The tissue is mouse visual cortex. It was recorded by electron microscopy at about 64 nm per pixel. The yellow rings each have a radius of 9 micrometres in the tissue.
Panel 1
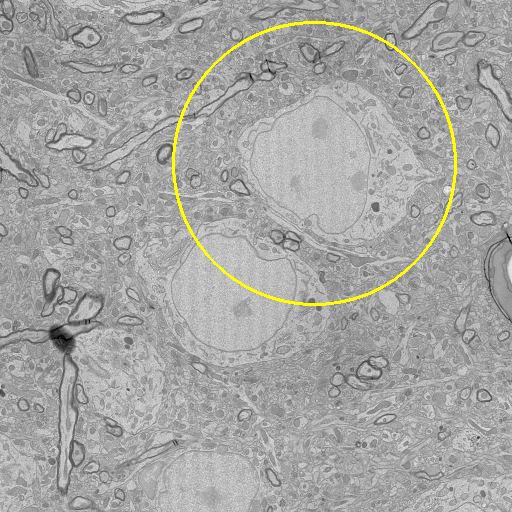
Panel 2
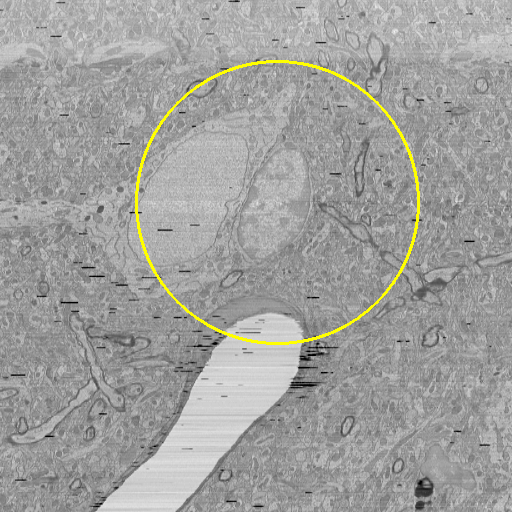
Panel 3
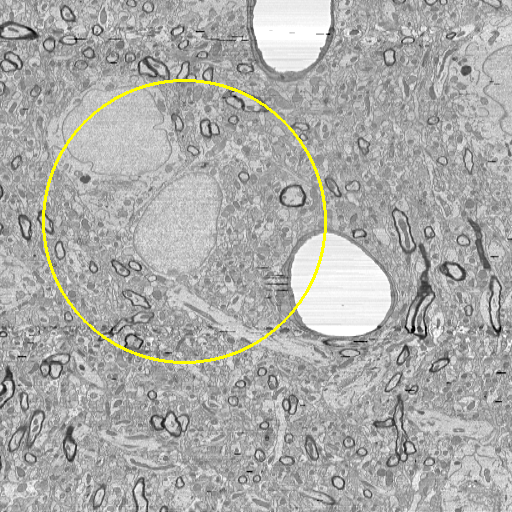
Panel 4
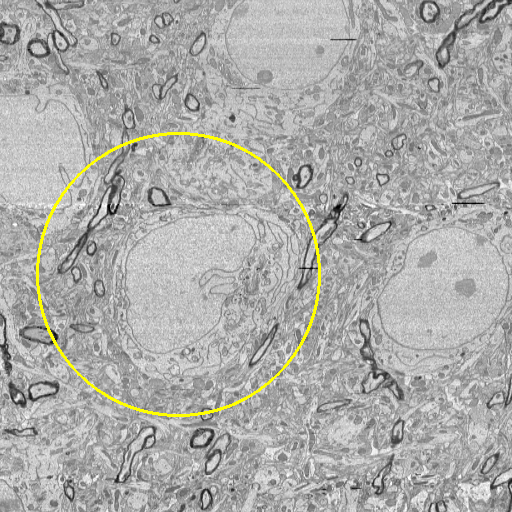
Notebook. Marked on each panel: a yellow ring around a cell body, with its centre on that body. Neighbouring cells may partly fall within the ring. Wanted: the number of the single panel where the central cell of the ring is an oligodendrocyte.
2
